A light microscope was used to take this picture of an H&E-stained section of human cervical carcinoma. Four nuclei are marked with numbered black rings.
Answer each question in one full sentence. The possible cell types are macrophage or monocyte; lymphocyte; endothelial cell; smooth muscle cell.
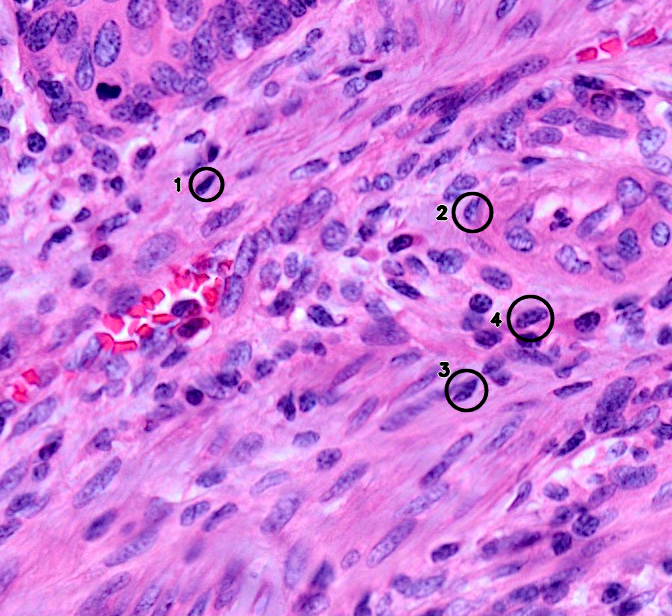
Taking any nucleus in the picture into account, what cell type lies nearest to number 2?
The nearest nucleus to number 2 belongs to a macrophage or monocyte.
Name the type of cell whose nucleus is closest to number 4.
Number 4 lies closest to the nucleus of a lymphocyte.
